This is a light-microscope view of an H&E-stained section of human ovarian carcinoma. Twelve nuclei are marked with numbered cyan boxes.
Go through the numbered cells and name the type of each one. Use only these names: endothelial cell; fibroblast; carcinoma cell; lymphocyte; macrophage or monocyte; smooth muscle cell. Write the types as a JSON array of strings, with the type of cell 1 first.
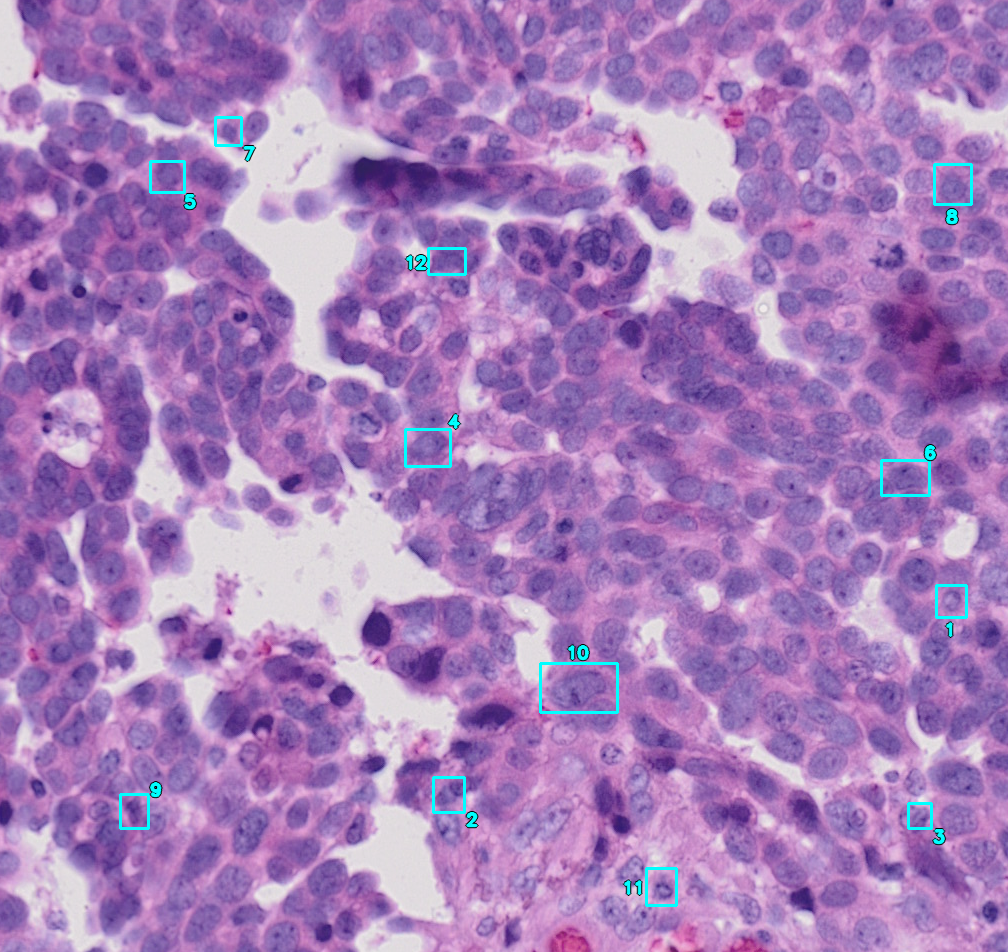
["macrophage or monocyte", "macrophage or monocyte", "macrophage or monocyte", "carcinoma cell", "carcinoma cell", "carcinoma cell", "macrophage or monocyte", "carcinoma cell", "carcinoma cell", "carcinoma cell", "macrophage or monocyte", "carcinoma cell"]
